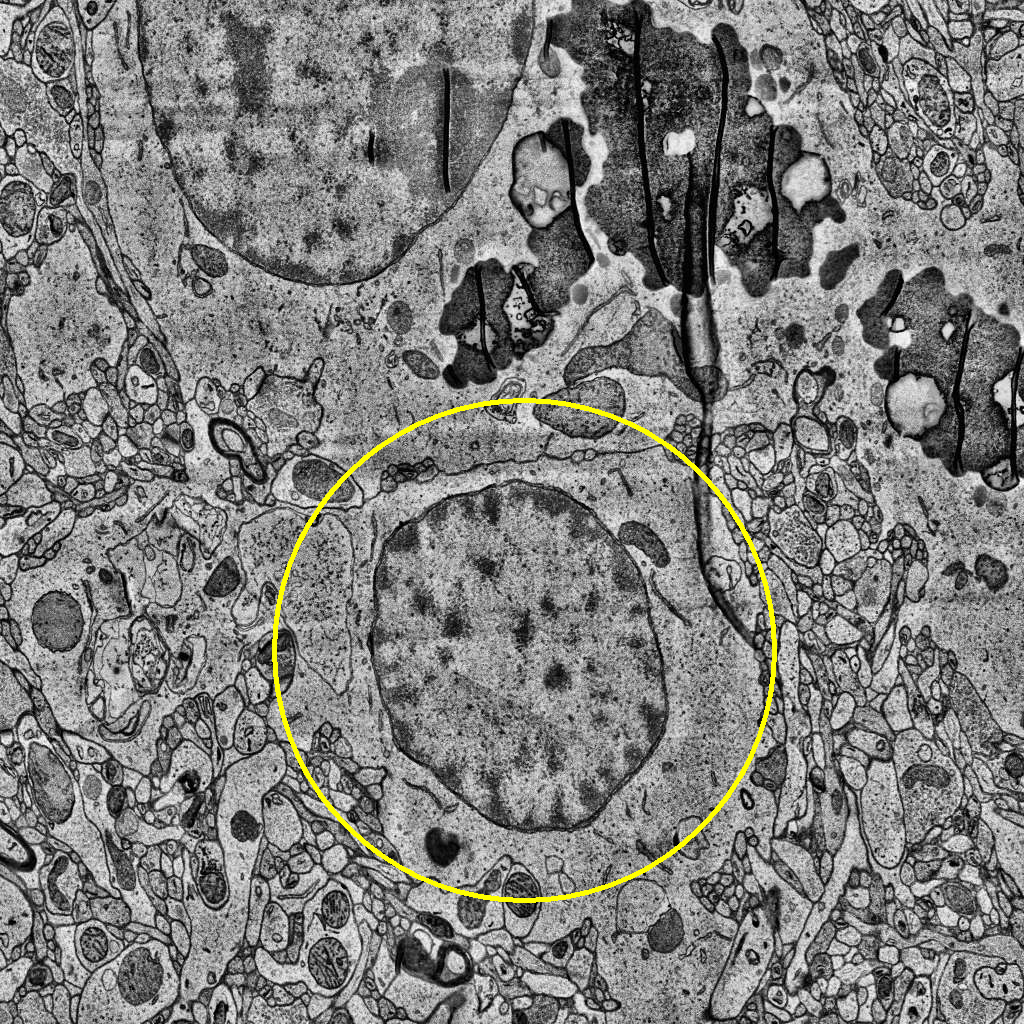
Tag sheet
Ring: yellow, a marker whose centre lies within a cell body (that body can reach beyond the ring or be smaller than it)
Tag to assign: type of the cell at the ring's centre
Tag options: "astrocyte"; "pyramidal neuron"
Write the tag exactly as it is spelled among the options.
astrocyte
